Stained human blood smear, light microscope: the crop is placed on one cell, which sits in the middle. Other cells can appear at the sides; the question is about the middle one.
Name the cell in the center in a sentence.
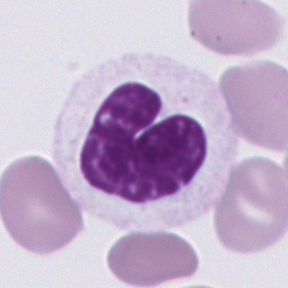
The cell the crop is centered on is a band neutrophil.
